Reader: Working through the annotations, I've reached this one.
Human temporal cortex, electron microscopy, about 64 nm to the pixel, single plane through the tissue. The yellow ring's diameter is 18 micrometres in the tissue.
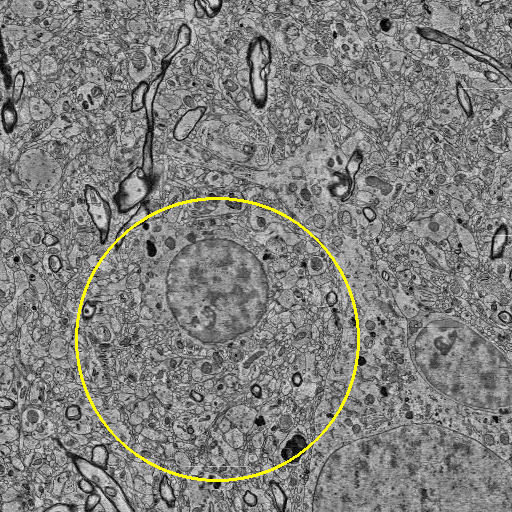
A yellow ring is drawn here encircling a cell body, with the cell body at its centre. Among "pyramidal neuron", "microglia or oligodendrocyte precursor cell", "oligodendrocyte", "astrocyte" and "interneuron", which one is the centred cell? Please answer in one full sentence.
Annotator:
The cell body at the centre of the yellow ring in this image belongs to an oligodendrocyte.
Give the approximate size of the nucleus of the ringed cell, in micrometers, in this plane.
In this plane, the nucleus measures approximately 7 micrometres across.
